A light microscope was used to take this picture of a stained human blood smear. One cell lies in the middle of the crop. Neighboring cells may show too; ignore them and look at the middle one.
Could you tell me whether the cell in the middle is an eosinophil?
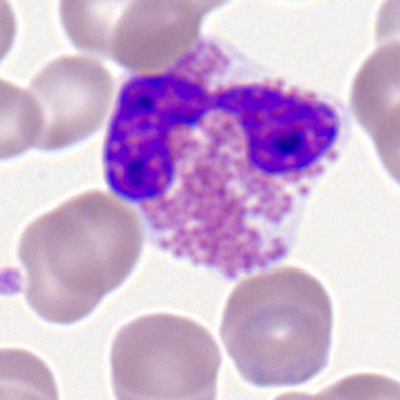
yes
